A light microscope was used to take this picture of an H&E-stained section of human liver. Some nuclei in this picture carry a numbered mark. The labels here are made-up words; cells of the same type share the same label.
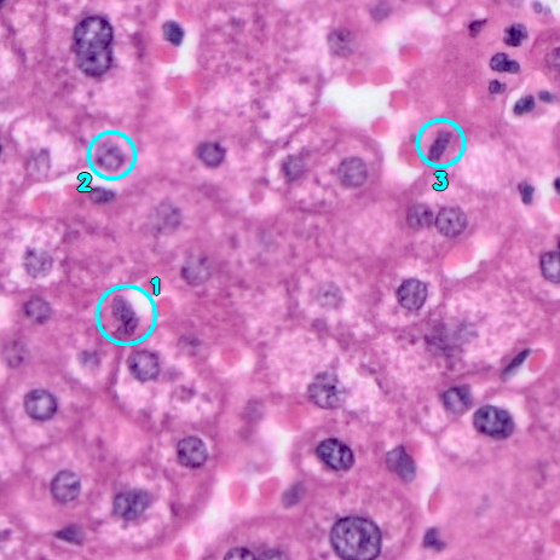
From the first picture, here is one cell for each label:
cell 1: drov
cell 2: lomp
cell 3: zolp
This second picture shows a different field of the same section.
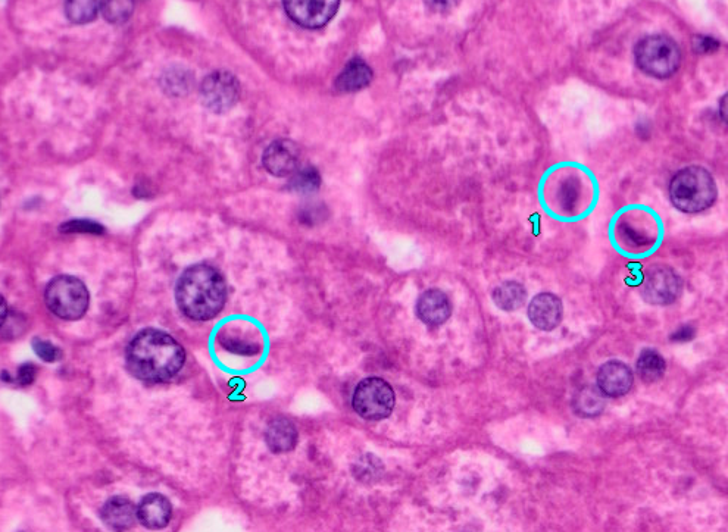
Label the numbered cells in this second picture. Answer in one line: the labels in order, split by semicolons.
drov; drov; zolp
